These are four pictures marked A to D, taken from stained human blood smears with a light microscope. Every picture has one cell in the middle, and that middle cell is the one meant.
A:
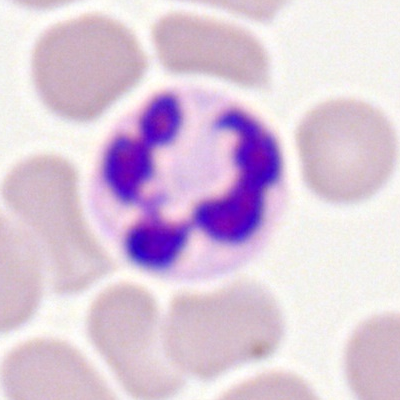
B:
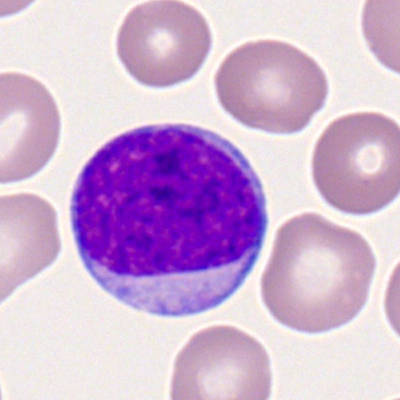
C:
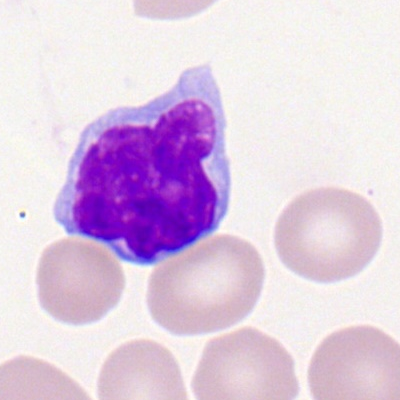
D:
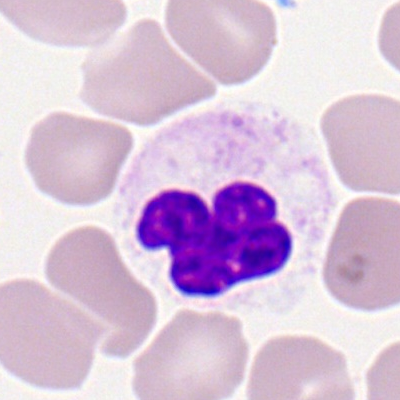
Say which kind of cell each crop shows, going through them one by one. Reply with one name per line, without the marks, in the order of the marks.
segmented neutrophil
myeloblast
lymphocyte
segmented neutrophil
